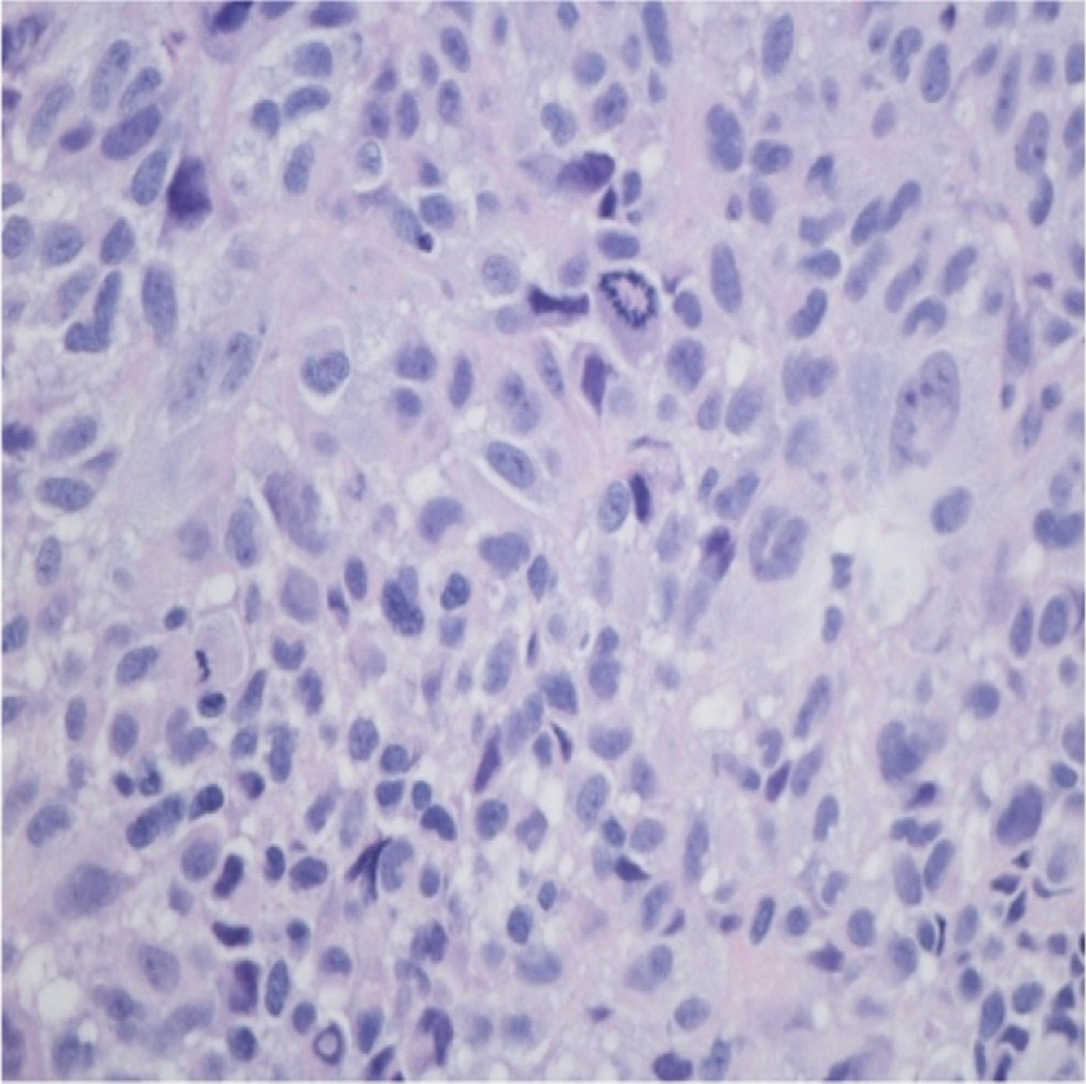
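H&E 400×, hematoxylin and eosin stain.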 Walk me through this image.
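A crowded sheet of malignant cells with oval to irregular, purple nuclei that vary markedly in size, shape and darkness. The cells have pale pink cytoplasm with many small clear vacuoles and indistinct borders. Scattered cells are in mitosis, with dark condensed chromosomes and no nuclear membrane.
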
